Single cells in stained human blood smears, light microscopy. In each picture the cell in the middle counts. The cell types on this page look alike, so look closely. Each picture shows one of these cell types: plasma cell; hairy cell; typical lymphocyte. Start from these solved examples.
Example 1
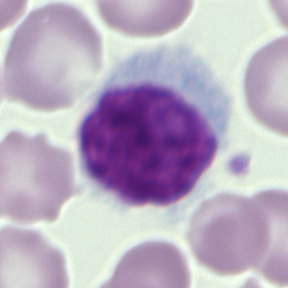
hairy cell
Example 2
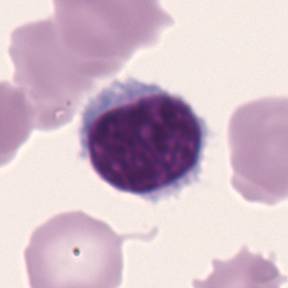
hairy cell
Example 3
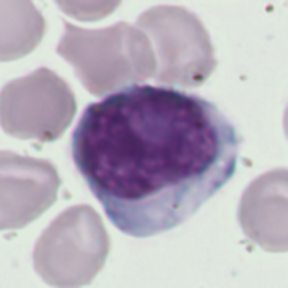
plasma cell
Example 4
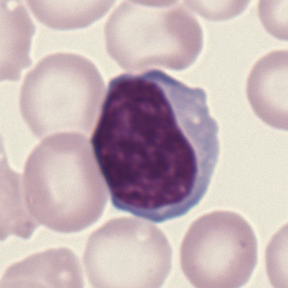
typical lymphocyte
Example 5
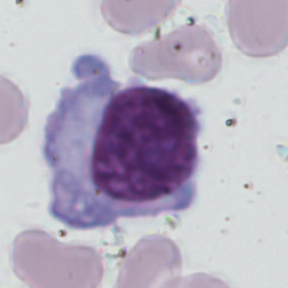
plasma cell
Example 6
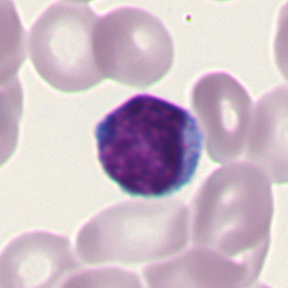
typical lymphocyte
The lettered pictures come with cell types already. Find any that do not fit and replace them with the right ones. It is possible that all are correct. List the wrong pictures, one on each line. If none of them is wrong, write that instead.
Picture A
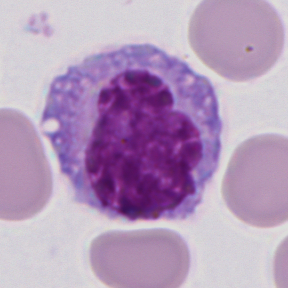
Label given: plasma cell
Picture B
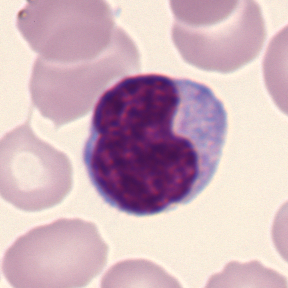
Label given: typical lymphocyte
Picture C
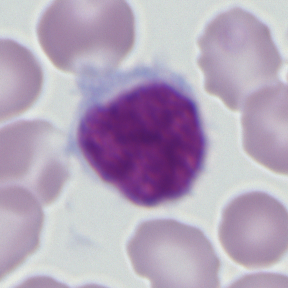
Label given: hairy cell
Nothing to fix; every label fits.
